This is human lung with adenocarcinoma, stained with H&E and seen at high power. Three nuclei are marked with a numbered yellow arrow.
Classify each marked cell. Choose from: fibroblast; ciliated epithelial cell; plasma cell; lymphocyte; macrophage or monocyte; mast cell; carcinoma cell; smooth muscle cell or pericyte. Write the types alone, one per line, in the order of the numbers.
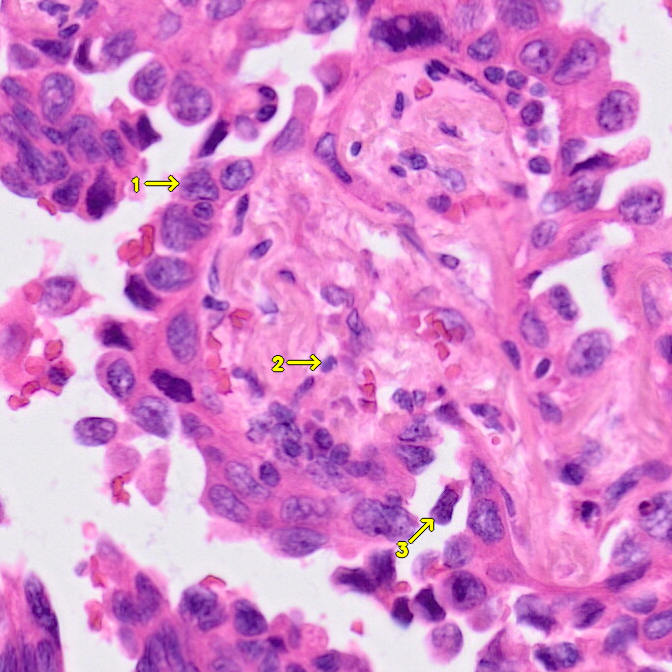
carcinoma cell
lymphocyte
carcinoma cell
